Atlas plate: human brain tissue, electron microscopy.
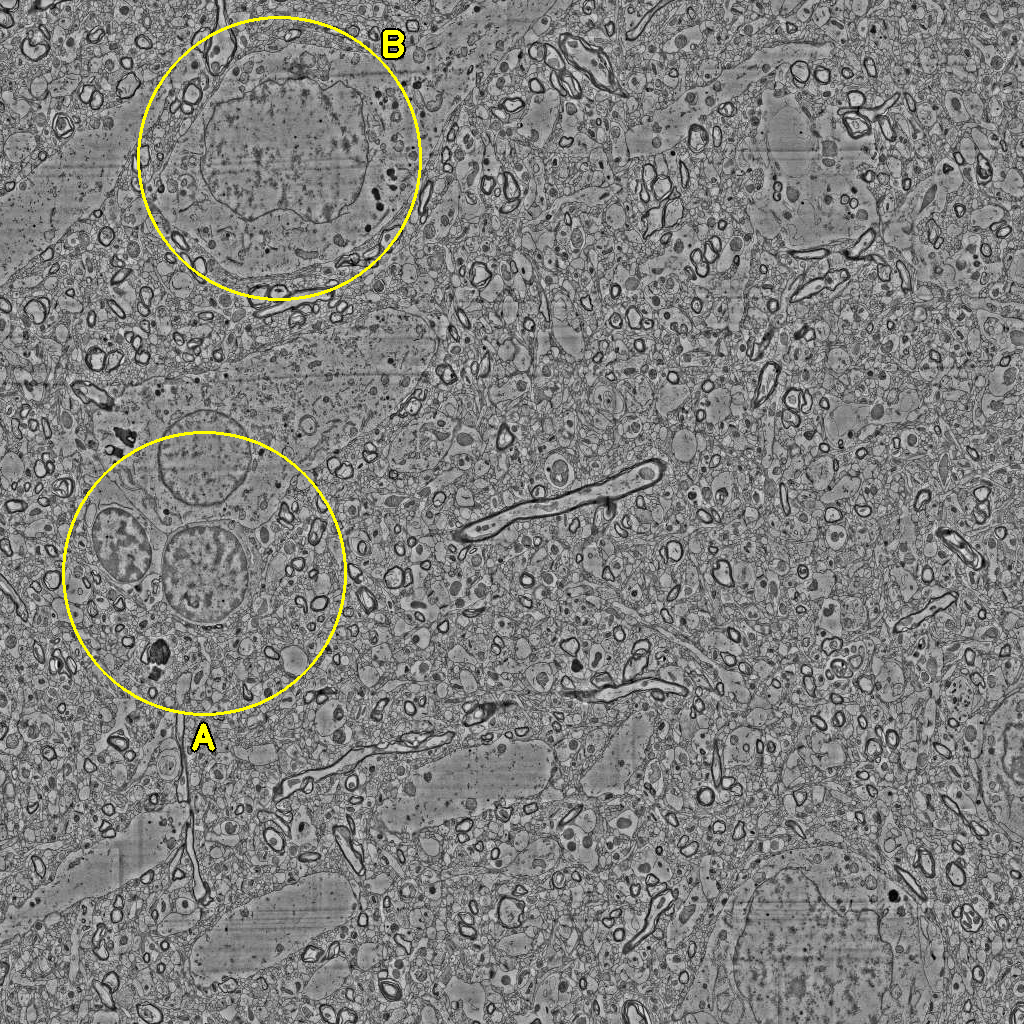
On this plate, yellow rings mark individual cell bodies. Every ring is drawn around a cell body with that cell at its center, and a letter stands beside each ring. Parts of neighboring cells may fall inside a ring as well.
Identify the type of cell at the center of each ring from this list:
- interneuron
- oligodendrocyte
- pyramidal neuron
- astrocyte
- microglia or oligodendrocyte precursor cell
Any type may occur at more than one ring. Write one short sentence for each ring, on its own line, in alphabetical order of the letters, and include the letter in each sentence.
At the center of ring A lies an oligodendrocyte.
At the center of ring B lies a pyramidal neuron.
